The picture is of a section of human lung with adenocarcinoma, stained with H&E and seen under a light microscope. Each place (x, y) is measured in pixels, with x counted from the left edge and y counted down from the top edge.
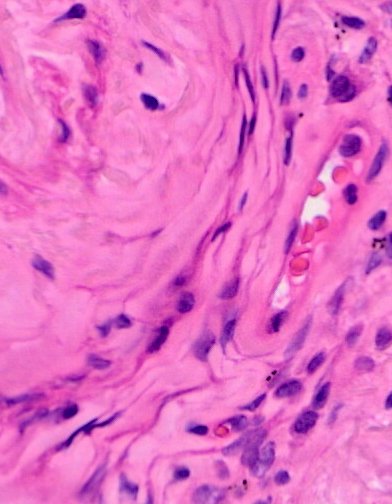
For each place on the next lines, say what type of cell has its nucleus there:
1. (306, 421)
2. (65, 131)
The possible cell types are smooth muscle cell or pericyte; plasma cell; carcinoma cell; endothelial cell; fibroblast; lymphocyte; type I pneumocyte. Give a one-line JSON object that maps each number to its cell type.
{"1": "plasma cell", "2": "smooth muscle cell or pericyte"}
